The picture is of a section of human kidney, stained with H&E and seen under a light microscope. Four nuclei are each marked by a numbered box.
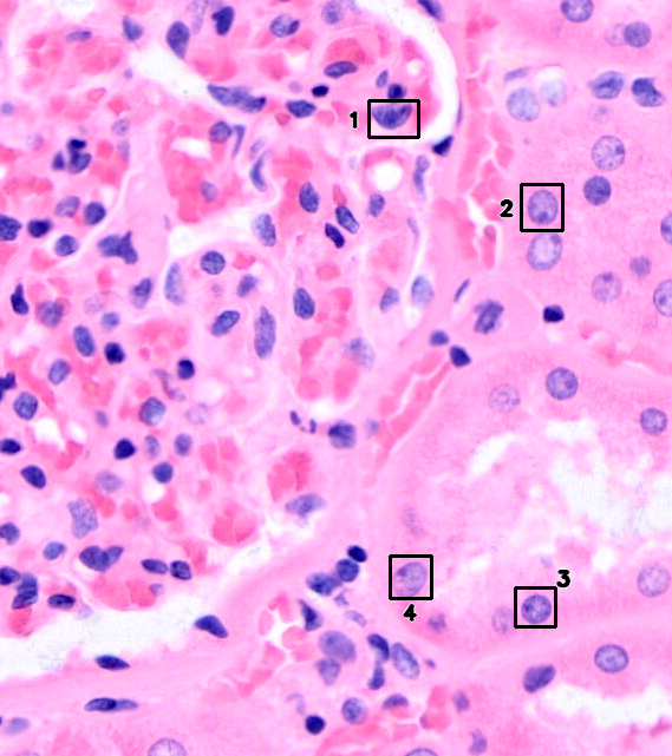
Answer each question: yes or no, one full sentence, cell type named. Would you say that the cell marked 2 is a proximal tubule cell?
Yes, the cell at the mark numbered 2 is a proximal tubule cell.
